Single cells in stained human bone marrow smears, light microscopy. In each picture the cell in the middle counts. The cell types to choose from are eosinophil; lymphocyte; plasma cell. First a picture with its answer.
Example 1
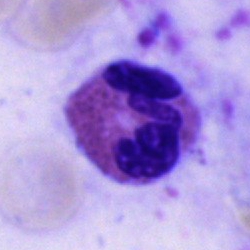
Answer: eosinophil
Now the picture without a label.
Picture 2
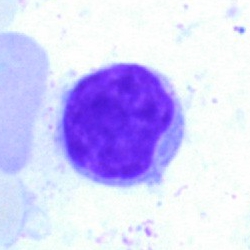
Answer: lymphocyte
